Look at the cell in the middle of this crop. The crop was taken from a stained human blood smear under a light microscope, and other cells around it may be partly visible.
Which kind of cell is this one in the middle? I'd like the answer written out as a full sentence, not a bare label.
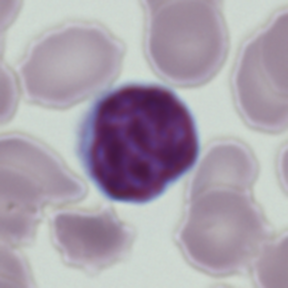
The middle position in this crop is taken by a typical lymphocyte.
